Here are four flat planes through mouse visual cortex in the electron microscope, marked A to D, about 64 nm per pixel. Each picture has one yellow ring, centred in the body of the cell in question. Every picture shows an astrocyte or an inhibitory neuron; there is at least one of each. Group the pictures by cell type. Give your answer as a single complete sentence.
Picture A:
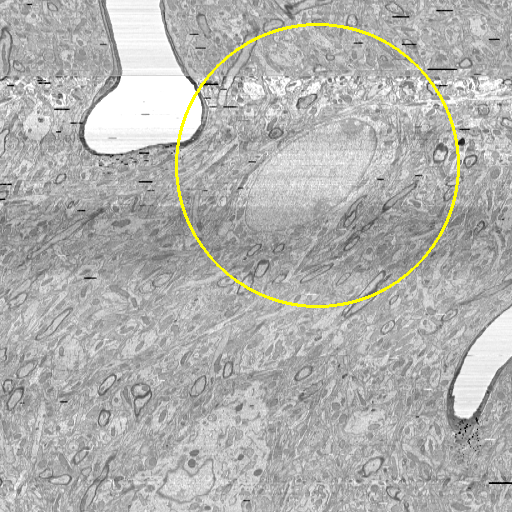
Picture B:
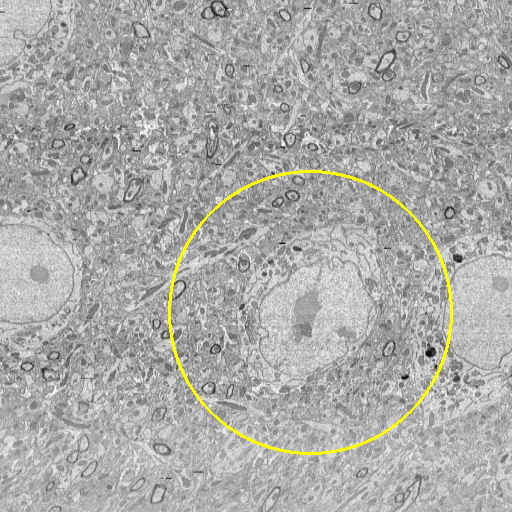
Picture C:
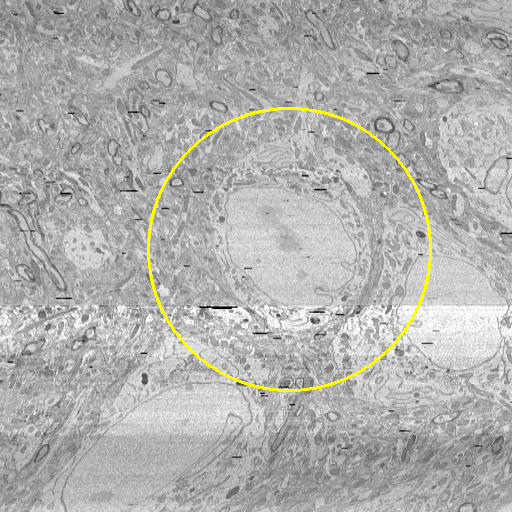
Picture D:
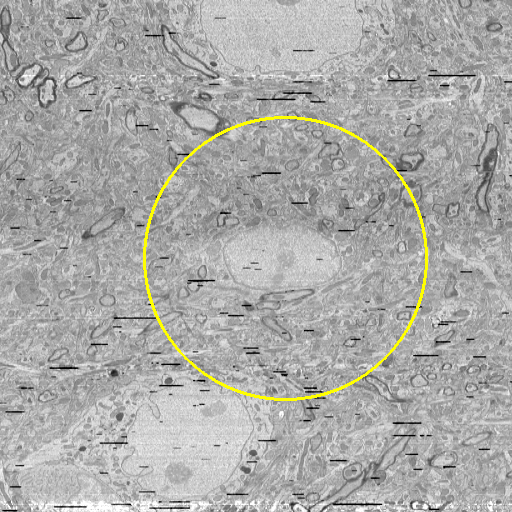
Pictures A and D show astrocytes, and pictures B and C show inhibitory neurons.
